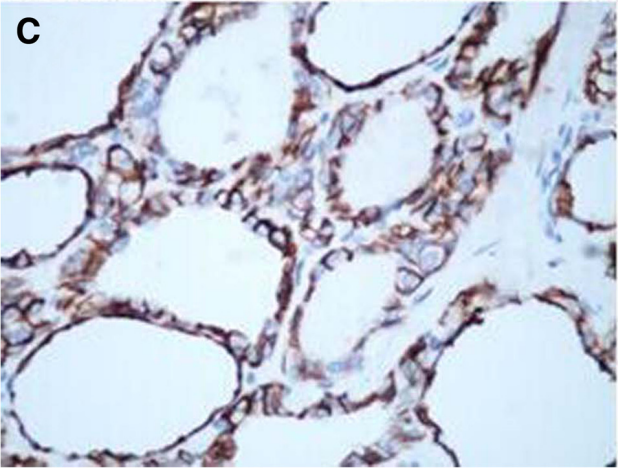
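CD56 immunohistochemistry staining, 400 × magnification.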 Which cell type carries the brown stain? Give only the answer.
Follicular epithelial cells.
